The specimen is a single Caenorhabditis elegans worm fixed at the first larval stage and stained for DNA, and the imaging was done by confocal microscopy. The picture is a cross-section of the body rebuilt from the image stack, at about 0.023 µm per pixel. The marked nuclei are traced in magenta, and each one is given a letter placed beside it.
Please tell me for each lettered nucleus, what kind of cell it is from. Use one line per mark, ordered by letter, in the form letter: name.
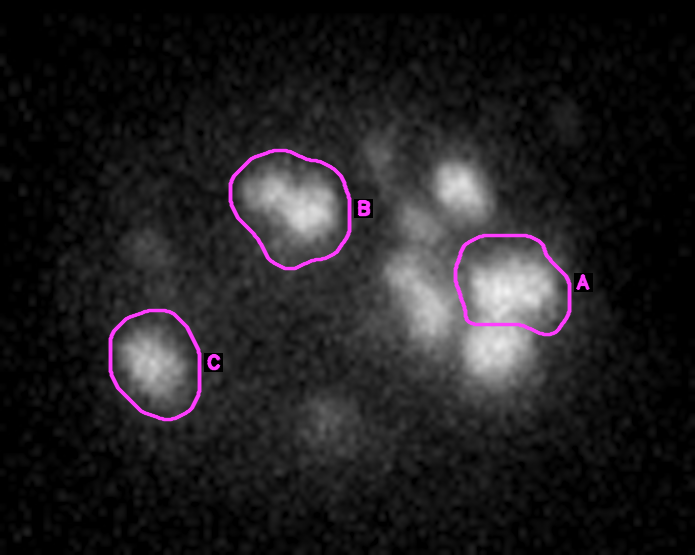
A: neuron
B: pharyngeal gland cell
C: body wall muscle cell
